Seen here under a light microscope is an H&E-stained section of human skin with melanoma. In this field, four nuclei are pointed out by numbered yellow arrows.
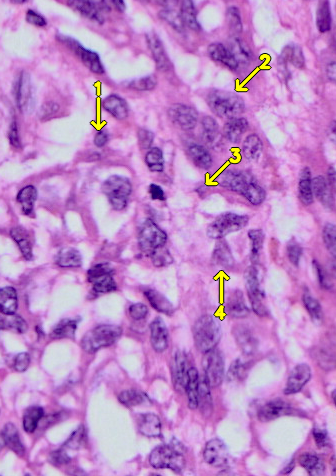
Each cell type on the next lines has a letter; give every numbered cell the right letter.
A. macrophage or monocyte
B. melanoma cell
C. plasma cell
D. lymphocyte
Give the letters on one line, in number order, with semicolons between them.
A; B; B; B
